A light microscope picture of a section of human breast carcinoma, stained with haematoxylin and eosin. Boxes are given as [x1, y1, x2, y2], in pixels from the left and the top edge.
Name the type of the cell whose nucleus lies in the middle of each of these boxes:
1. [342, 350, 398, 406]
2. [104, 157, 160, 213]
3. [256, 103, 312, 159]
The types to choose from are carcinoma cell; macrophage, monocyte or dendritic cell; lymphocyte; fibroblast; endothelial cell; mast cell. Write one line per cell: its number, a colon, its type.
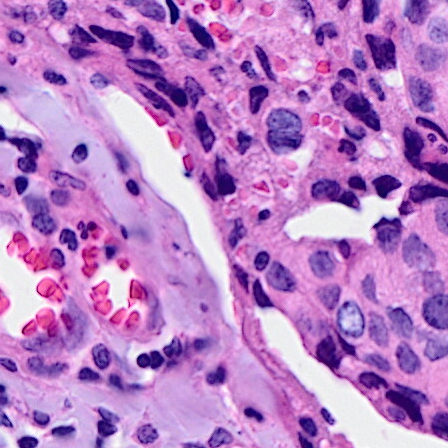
1: carcinoma cell
2: mast cell
3: carcinoma cell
